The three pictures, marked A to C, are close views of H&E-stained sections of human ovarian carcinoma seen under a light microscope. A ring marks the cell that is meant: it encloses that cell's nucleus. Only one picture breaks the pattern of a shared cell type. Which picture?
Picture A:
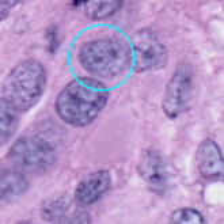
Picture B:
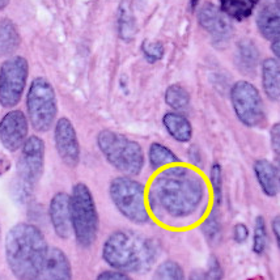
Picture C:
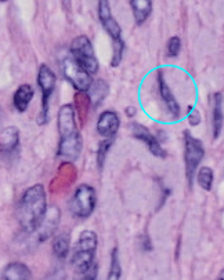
C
